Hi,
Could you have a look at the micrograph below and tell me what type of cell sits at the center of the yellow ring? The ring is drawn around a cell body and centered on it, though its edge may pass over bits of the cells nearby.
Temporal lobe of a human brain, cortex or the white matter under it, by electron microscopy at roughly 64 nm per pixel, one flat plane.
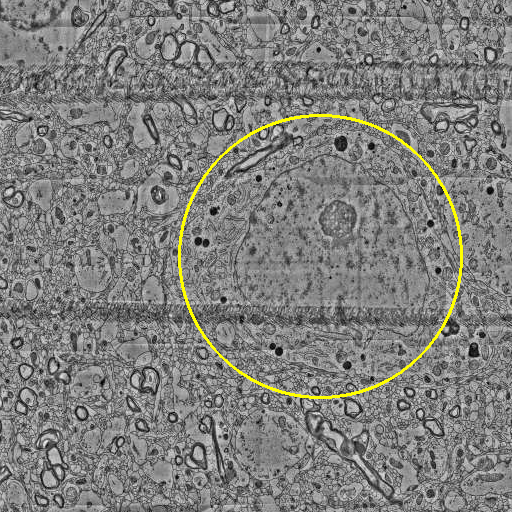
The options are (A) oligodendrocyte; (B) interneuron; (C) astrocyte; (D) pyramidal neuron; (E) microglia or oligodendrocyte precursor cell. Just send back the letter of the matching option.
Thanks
B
